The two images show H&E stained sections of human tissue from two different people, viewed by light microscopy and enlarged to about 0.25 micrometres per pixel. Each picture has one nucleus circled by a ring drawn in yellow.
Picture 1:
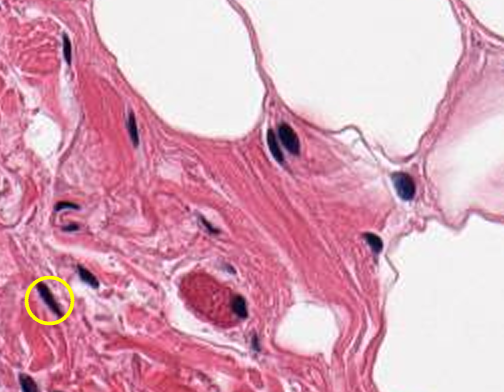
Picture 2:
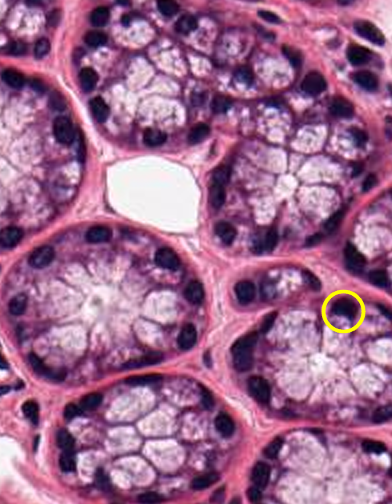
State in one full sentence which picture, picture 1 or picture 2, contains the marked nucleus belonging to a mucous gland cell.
For picture 2, the marked nucleus is that of a mucous gland cell.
